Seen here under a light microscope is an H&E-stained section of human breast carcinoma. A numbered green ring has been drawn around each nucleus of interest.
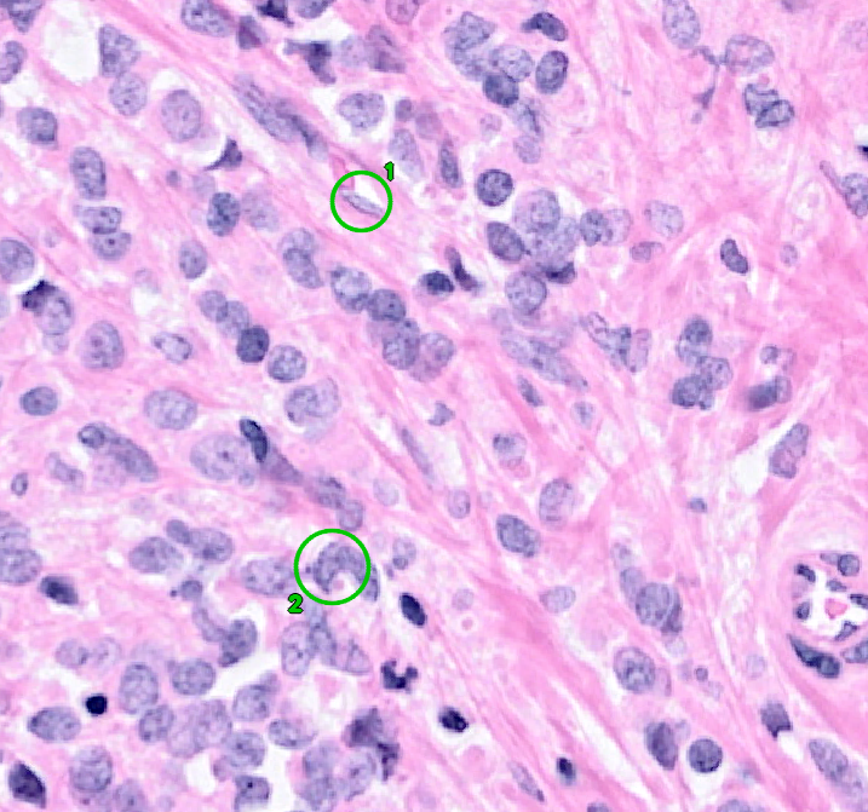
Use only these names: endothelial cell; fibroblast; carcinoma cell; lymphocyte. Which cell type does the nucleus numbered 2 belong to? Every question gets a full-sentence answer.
The nucleus with number 2 is that of a carcinoma cell.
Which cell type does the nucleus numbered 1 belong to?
Number 1 among the marked cells is an endothelial cell.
